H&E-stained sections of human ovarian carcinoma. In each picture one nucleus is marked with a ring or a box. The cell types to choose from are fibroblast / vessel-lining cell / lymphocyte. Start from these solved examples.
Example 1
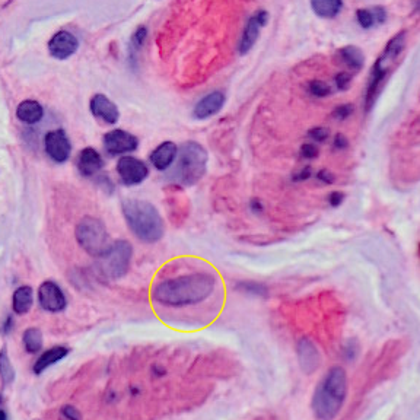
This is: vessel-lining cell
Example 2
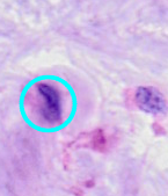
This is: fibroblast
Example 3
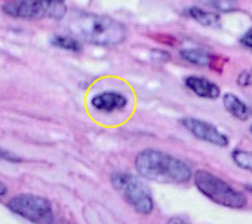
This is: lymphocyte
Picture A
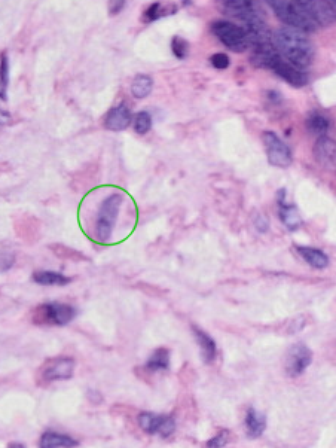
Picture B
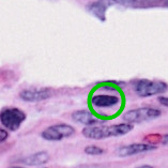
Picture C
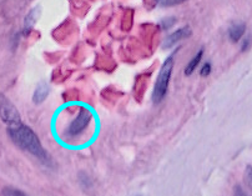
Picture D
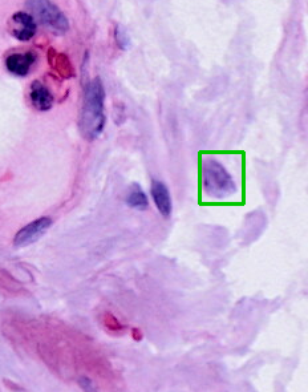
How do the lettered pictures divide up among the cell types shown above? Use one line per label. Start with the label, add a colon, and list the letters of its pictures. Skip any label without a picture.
fibroblast: A, D
vessel-lining cell: C
lymphocyte: B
